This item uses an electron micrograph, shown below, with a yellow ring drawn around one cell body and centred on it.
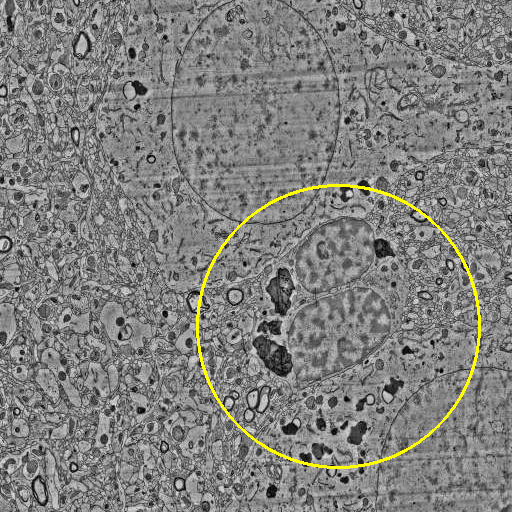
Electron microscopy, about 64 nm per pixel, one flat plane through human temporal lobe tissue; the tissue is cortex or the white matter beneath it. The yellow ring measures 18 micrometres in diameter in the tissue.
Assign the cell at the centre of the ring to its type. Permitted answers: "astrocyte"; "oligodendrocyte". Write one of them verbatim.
oligodendrocyte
